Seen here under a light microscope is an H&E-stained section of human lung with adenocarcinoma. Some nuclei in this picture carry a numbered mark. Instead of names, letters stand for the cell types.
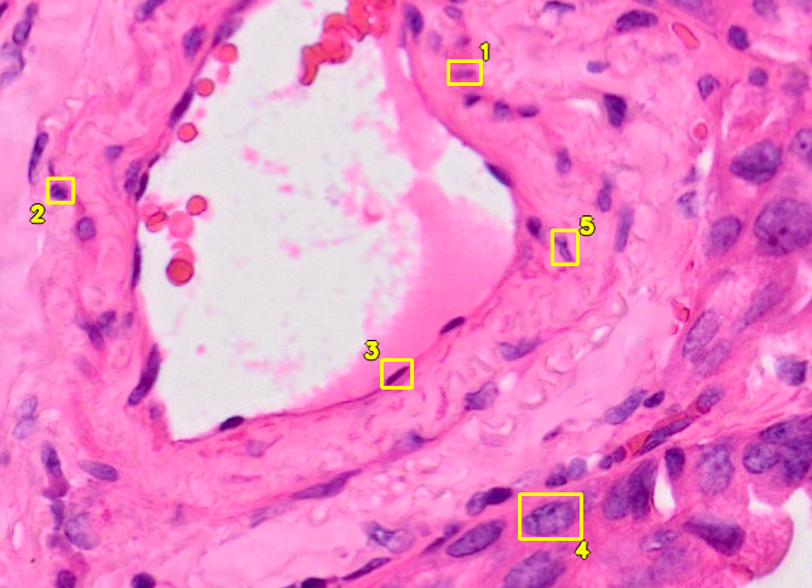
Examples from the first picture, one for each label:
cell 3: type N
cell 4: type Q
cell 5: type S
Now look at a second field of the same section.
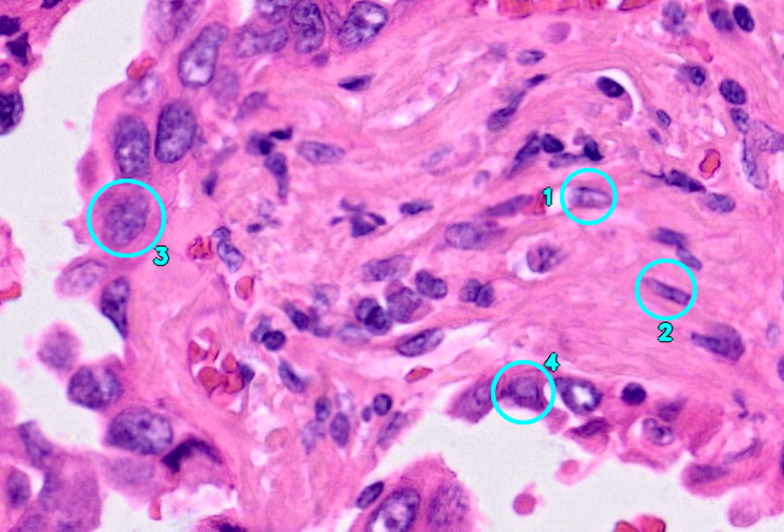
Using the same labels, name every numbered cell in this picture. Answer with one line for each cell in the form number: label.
1: type N
2: type S
3: type Q
4: type Q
